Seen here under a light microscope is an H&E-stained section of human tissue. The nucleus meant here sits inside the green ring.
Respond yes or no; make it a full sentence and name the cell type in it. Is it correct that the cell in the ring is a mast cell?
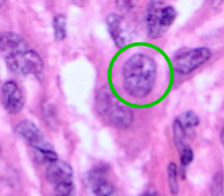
No, the cell in the ring is not a mast cell, being instead a melanoma cell.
